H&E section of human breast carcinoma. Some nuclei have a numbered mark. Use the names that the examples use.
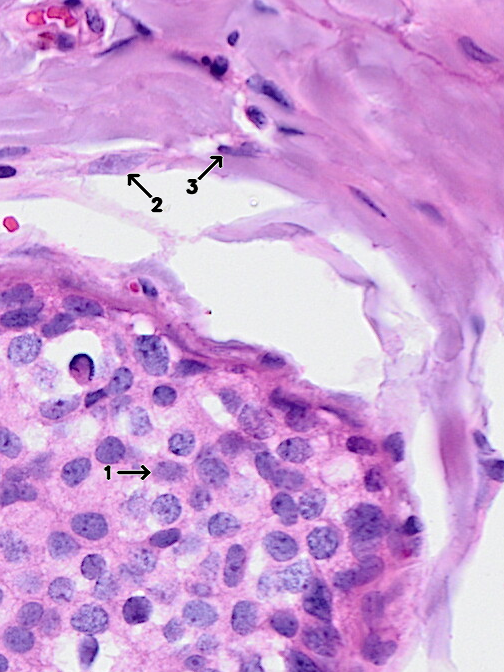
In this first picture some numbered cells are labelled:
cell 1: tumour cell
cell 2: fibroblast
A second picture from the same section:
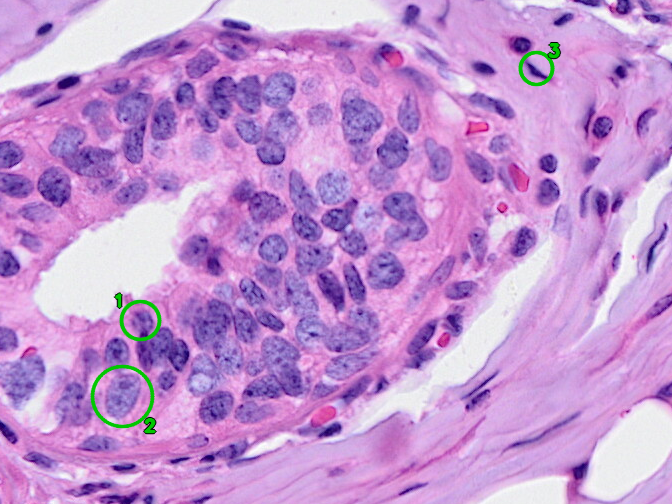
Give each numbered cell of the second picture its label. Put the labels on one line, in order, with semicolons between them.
tumour cell; tumour cell; fibroblast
